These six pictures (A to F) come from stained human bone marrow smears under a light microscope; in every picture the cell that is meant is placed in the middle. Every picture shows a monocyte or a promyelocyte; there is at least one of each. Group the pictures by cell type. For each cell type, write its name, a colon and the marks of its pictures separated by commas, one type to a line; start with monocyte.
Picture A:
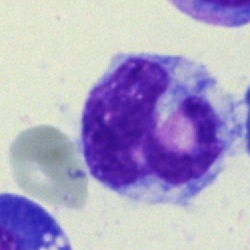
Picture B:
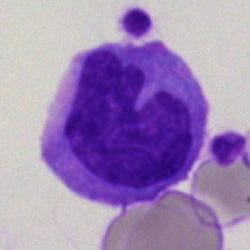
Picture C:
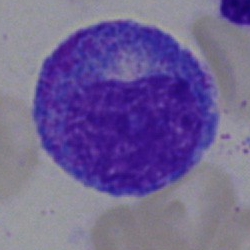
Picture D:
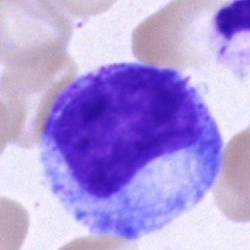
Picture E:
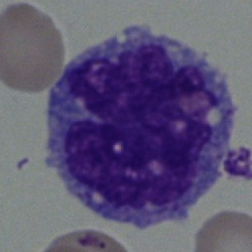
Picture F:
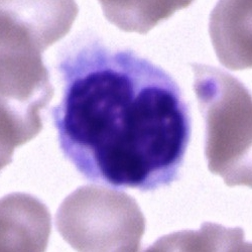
monocyte: A, B, E, F
promyelocyte: C, D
